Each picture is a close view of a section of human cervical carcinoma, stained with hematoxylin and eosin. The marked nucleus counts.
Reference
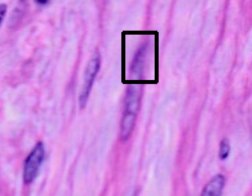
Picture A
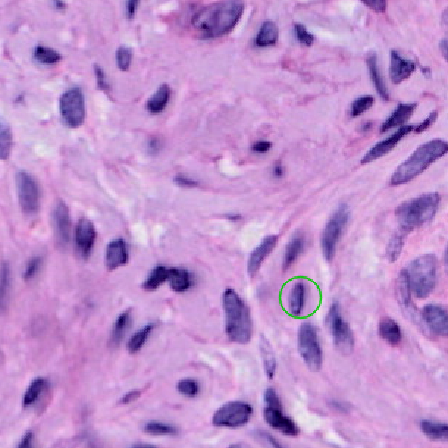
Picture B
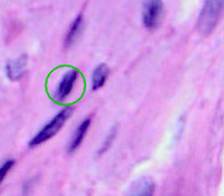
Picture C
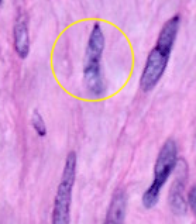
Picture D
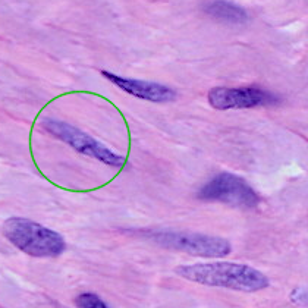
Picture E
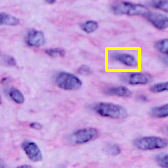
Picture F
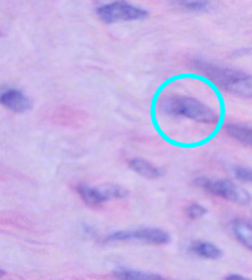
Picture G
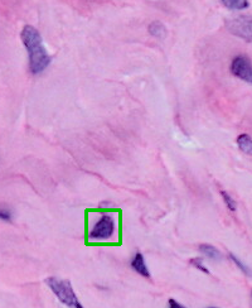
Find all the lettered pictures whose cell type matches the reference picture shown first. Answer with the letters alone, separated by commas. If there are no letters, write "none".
E, F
